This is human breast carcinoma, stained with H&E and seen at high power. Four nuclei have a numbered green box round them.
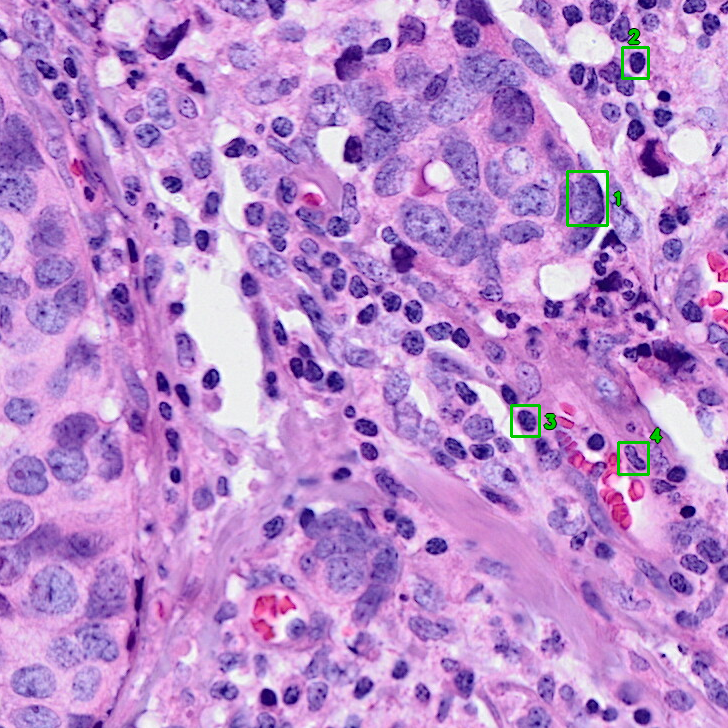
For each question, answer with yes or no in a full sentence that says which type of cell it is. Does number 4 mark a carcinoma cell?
No, an endothelial cell is what cell 4 is, not a carcinoma cell.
